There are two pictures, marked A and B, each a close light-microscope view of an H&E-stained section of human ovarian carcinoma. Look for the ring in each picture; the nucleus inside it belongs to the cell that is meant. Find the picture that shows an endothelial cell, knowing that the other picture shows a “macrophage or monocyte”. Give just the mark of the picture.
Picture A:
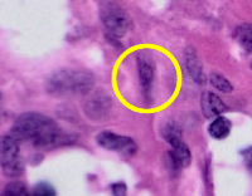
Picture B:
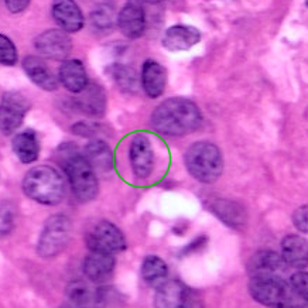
A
